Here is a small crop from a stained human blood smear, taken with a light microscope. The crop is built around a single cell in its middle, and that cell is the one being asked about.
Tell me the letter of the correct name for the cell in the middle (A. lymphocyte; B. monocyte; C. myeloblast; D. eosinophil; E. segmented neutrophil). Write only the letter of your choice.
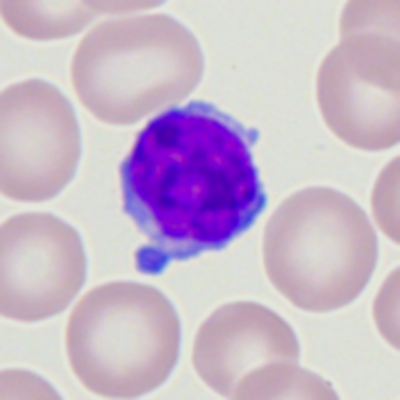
A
